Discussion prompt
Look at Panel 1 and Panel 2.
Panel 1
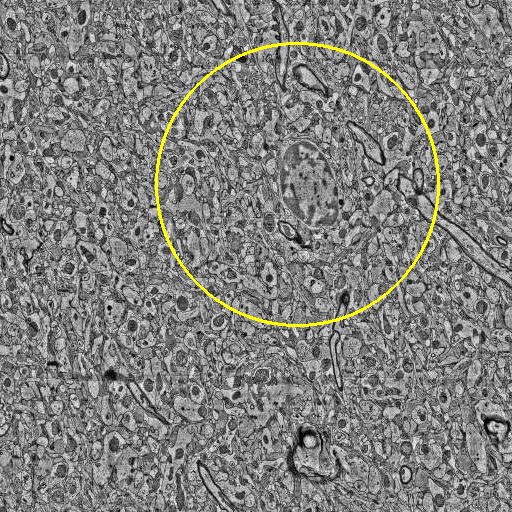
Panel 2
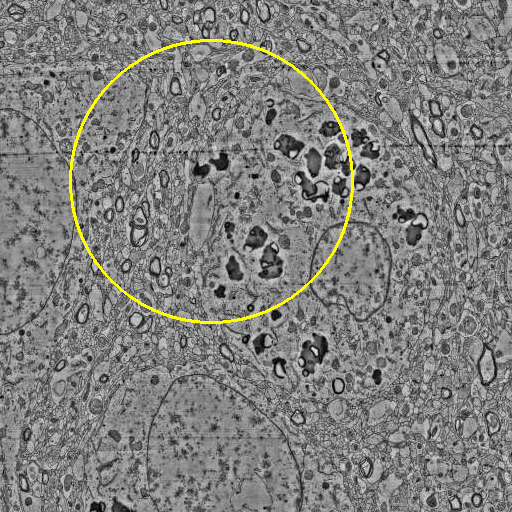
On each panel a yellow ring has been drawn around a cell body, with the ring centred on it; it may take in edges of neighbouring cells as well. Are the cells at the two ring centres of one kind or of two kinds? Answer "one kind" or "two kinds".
two kinds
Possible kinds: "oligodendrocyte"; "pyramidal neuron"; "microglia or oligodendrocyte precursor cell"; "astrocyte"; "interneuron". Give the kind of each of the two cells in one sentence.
The cell in the second picture is an oligodendrocyte, and that in the first is a microglial cell or oligodendrocyte precursor cell.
